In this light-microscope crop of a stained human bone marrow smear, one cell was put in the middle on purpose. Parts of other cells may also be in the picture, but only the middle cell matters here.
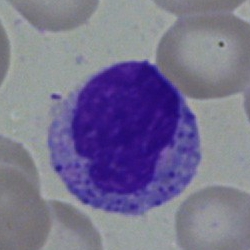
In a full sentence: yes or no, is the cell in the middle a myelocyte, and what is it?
Yes, within this crop, the central cell is a myelocyte.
